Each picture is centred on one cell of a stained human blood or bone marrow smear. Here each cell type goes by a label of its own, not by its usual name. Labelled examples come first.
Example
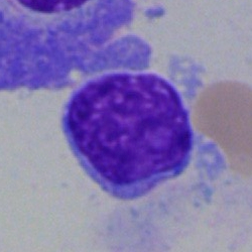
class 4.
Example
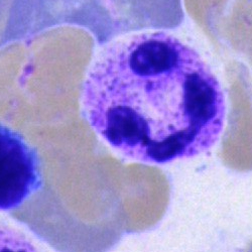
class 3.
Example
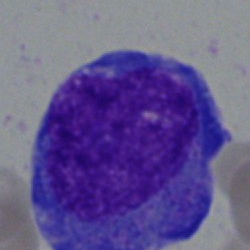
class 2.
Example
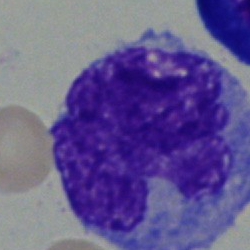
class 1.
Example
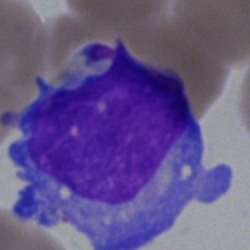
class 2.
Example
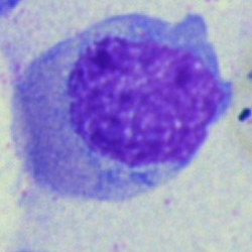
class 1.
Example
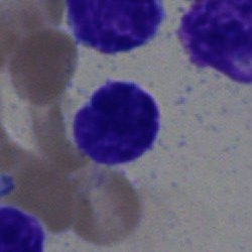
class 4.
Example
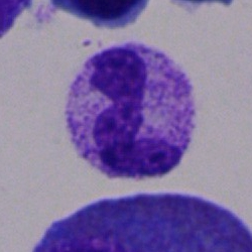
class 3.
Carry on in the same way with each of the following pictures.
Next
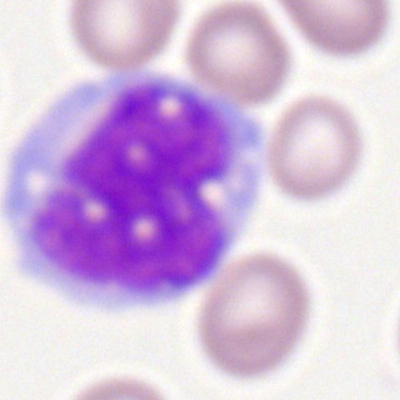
class 1.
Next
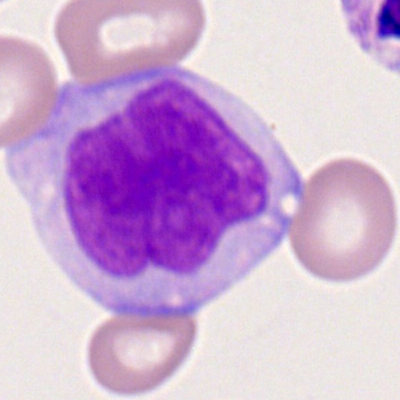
class 1.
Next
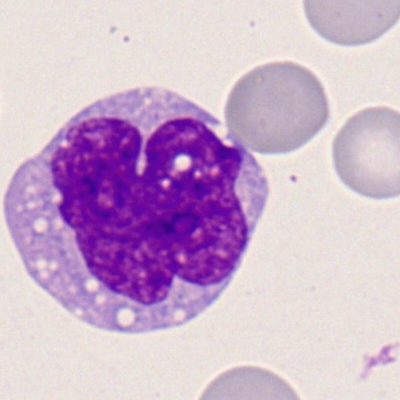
class 1.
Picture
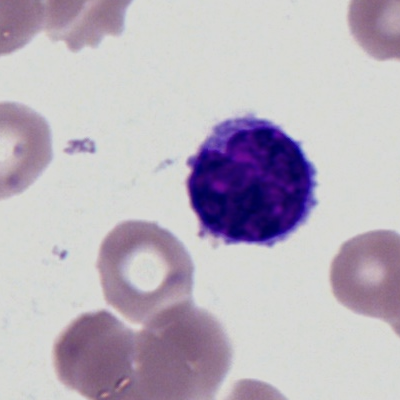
class 4.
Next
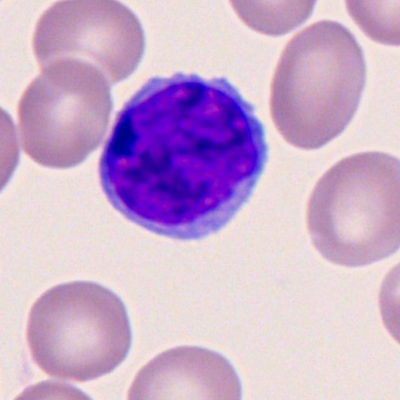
class 4.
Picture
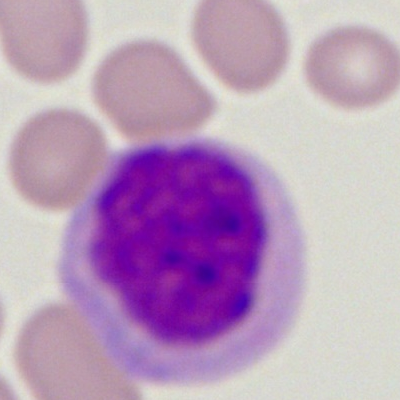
class 1.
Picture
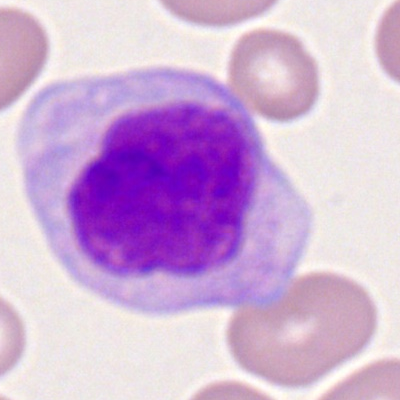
class 1.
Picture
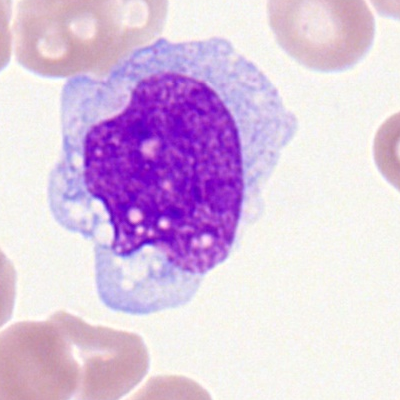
class 1.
